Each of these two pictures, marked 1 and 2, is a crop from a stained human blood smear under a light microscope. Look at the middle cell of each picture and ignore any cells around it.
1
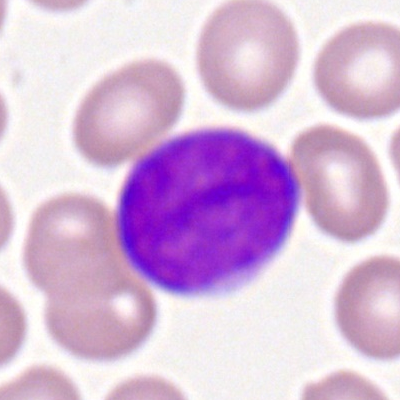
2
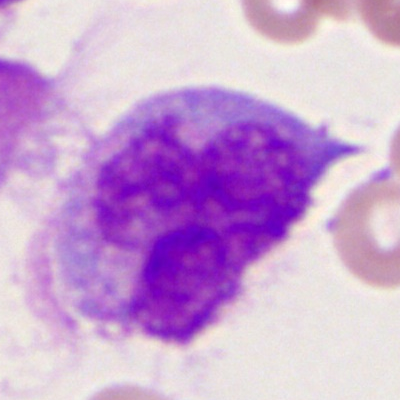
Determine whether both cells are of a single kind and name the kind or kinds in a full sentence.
No, crop 1 and crop 2 contain, respectively, a blast and a monocyte.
